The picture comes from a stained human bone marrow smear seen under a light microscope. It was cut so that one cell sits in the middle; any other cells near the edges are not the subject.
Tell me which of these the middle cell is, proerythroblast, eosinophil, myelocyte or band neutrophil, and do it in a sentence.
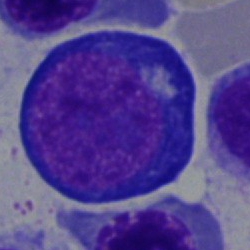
The cell at the heart of this crop is a proerythroblast.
